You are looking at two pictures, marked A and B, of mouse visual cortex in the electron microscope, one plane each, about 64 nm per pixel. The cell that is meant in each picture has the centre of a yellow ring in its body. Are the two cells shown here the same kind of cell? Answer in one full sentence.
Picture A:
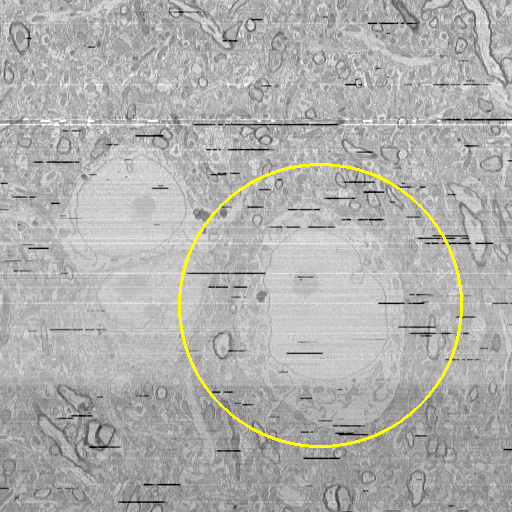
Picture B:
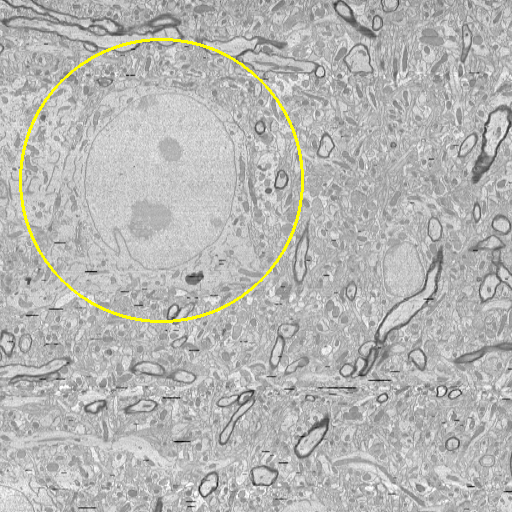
Yes, both cells are excitatory neurons.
